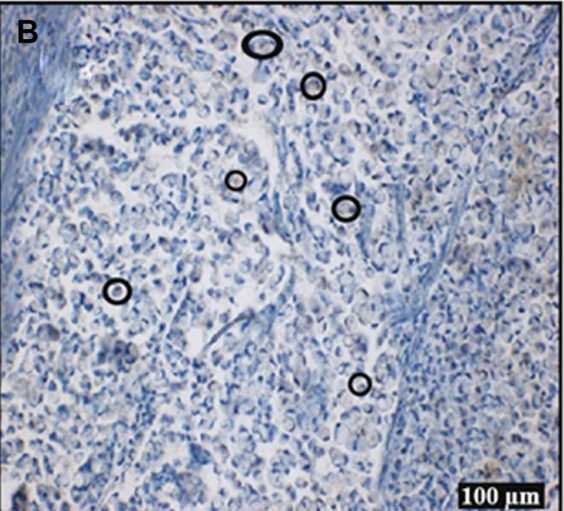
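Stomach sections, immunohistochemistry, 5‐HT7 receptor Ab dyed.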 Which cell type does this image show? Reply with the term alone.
tumor cells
